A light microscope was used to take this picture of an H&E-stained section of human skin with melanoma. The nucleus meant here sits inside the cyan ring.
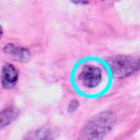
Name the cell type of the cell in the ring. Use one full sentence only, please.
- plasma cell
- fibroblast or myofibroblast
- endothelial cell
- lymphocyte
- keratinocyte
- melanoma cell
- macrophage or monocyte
Labelled by cell type, the cell in the ring is a lymphocyte.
